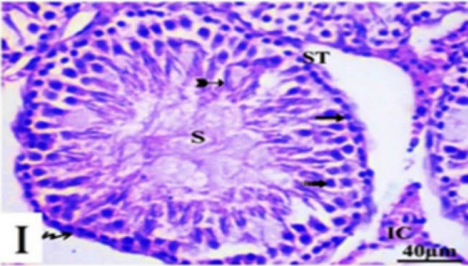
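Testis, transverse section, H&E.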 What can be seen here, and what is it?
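This is a seminiferous tubule in cross section, lined by a germinal epithelium of several layers of cells. A little interstitial tissue lies in the angle between neighbouring tubules.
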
